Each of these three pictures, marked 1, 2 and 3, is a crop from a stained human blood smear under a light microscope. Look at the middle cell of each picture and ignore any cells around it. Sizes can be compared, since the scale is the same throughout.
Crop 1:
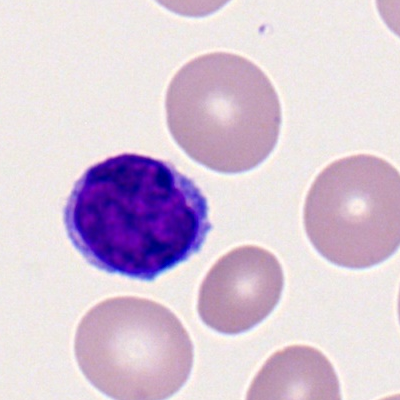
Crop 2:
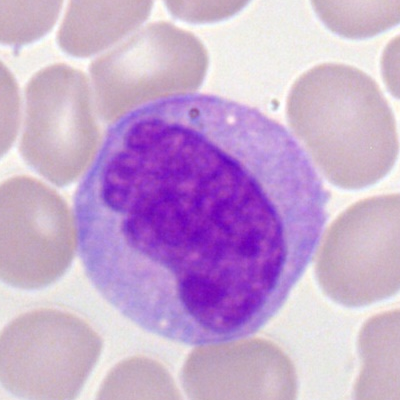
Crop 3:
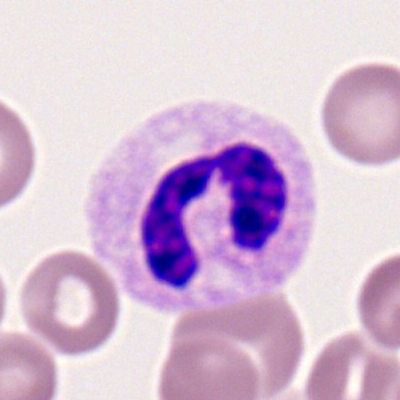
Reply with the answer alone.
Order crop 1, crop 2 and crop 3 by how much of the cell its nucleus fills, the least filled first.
3, 2, 1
